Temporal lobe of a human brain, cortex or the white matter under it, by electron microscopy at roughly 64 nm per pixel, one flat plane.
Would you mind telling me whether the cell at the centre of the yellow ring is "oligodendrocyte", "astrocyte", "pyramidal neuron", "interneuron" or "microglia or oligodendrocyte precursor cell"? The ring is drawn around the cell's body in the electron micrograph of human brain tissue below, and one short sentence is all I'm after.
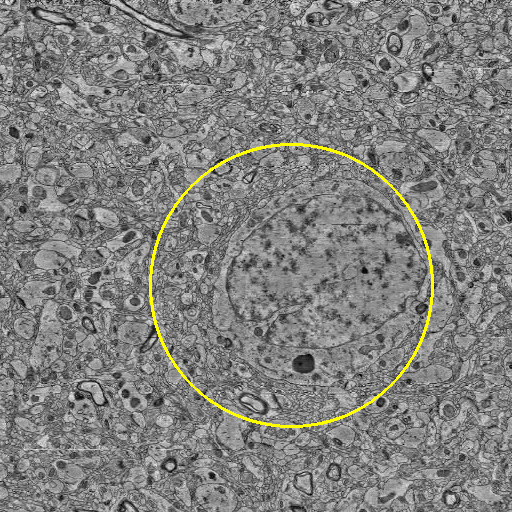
In the centre of the ring lies an interneuron.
